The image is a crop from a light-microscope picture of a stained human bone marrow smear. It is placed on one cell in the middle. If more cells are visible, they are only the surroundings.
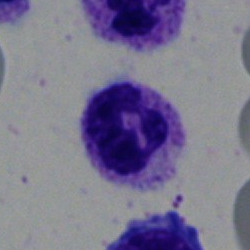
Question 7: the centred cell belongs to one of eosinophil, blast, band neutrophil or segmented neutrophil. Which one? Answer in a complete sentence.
The cell shown in the center of this light-microscope crop is a segmented neutrophil.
